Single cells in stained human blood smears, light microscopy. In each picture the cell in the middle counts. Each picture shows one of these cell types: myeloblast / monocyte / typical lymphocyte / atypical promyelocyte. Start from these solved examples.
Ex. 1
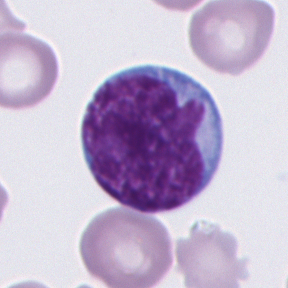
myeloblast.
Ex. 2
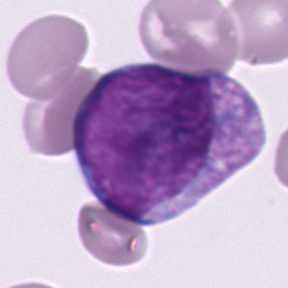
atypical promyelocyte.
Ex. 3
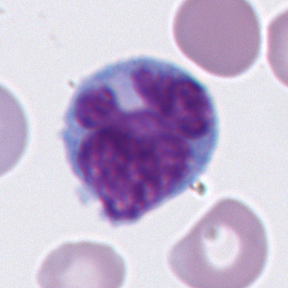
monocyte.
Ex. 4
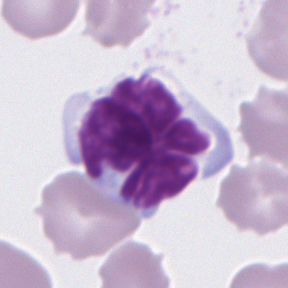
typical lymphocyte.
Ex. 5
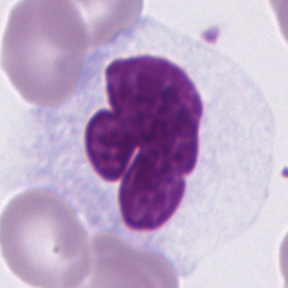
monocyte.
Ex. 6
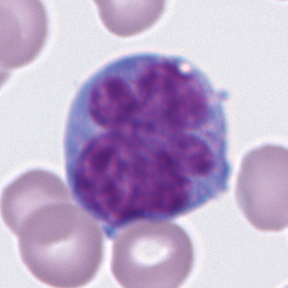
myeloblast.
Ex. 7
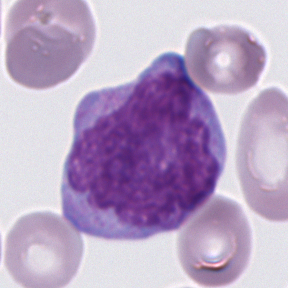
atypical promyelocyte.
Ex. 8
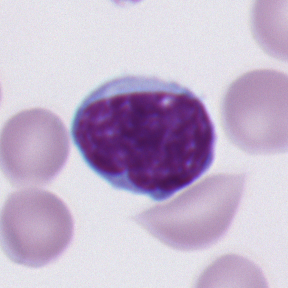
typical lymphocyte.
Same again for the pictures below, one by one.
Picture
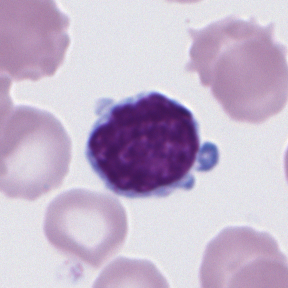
typical lymphocyte.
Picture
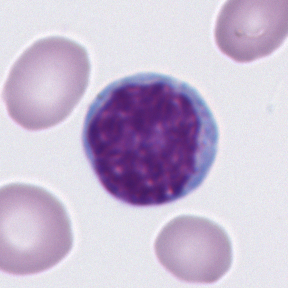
myeloblast.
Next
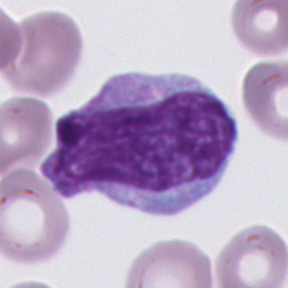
atypical promyelocyte.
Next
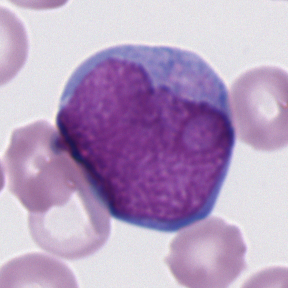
myeloblast.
